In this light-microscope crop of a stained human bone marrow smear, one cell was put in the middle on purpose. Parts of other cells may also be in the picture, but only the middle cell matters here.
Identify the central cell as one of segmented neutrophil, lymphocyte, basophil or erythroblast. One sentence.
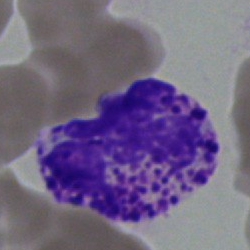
The cell of interest, located centrally, is a basophil.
